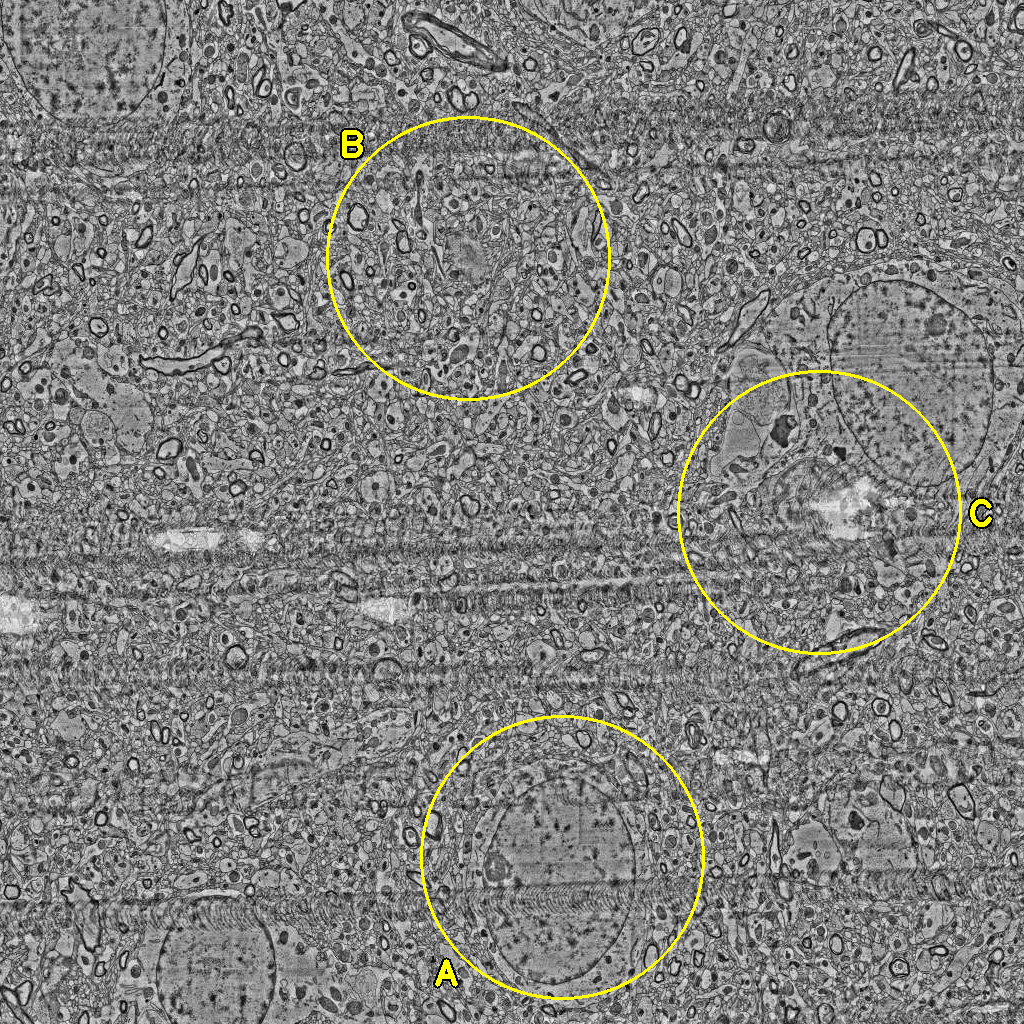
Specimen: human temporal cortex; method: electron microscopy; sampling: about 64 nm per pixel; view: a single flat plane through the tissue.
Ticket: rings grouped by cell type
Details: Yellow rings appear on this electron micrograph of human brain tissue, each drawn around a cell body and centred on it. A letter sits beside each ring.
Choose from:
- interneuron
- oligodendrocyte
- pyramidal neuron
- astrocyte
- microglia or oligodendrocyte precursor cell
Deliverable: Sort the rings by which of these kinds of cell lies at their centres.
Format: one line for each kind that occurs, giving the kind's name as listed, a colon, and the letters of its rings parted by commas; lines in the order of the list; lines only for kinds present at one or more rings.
oligodendrocyte: B, C
pyramidal neuron: A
